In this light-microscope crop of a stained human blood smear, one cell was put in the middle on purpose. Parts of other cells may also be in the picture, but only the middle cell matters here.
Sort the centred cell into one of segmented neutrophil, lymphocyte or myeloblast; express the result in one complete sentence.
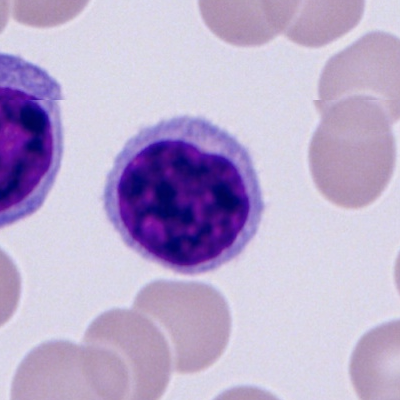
Located at the centre of the crop is a lymphocyte.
